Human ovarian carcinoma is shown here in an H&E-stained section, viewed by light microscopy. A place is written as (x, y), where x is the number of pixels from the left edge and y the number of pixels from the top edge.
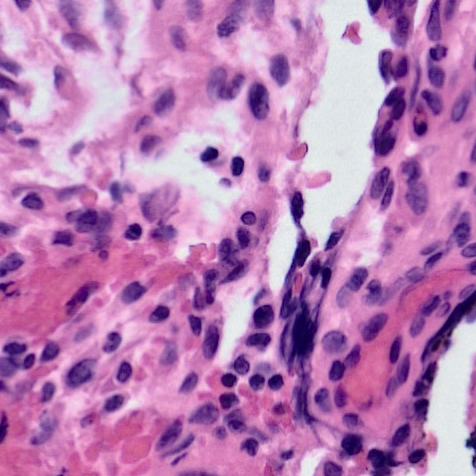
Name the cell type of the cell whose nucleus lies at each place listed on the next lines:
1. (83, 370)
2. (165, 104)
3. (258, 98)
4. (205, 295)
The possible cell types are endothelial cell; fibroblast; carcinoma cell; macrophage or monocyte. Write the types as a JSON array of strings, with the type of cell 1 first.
["fibroblast", "fibroblast", "fibroblast", "macrophage or monocyte"]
